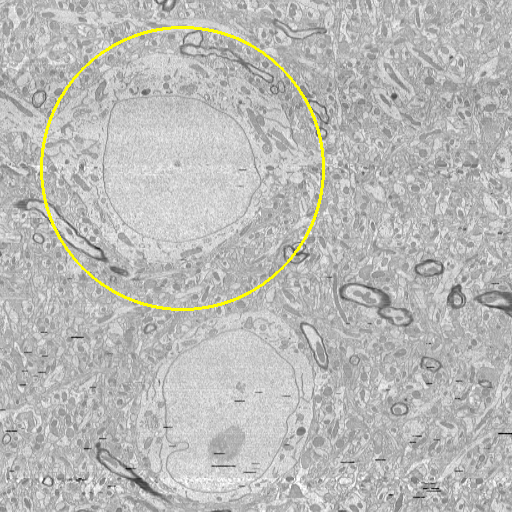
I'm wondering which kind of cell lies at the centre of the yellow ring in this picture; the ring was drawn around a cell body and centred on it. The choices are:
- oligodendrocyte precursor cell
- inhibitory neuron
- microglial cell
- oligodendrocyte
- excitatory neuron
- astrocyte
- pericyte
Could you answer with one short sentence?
At the centre of the ring lies an excitatory neuron.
